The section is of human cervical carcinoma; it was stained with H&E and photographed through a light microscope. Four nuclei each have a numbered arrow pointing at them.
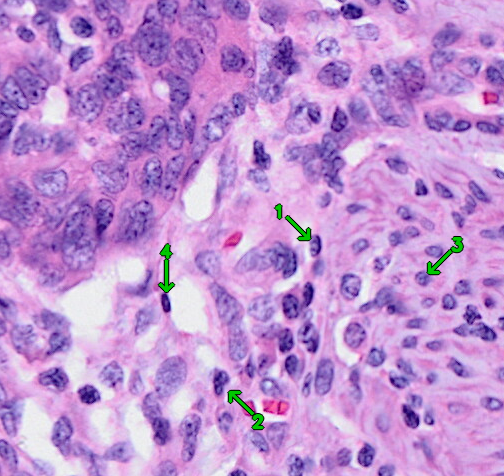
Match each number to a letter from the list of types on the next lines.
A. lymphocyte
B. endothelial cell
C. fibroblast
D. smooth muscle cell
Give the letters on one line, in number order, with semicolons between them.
A; A; D; A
